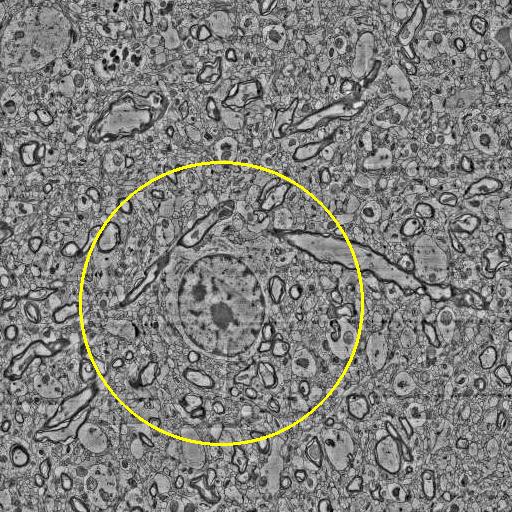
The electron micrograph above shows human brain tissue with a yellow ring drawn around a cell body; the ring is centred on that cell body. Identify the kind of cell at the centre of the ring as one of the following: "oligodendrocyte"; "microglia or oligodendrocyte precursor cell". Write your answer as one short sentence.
The cell at the centre of the ring is a microglial cell or oligodendrocyte precursor cell.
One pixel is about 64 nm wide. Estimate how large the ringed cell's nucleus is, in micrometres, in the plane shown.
Approximately 7 by 6 micrometers in this plane.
